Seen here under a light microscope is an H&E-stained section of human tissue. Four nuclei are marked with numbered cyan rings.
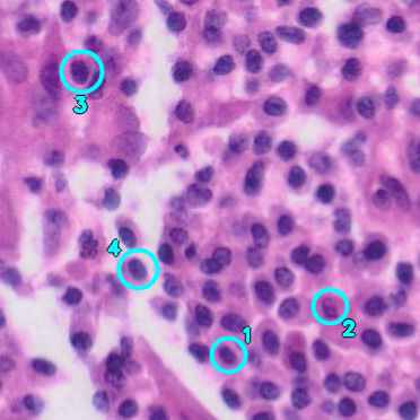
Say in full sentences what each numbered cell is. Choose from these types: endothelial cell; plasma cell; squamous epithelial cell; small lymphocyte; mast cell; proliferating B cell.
Cell 1 is a plasma cell, cell 2 is a plasma cell, cell 3 is a squamous epithelial cell and cell 4 is a plasma cell.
